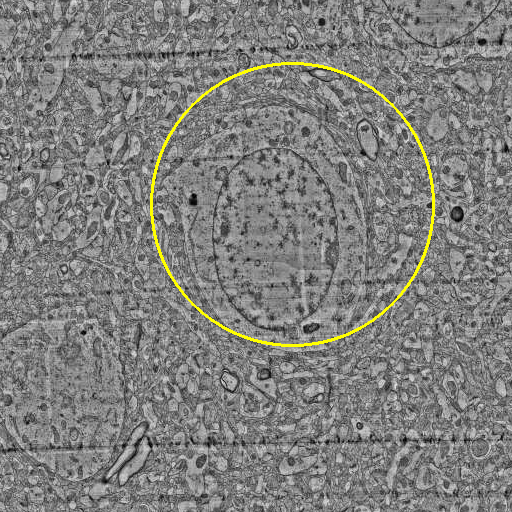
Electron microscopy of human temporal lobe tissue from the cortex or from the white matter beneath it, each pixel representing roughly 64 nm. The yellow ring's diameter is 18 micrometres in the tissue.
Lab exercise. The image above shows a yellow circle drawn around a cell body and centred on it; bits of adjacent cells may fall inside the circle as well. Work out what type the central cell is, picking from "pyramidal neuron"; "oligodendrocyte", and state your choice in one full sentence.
In the image above, the cell at the centre of the yellow circle is a pyramidal neuron.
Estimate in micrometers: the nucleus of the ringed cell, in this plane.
Approximately 12 by 8 micrometers in this plane.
